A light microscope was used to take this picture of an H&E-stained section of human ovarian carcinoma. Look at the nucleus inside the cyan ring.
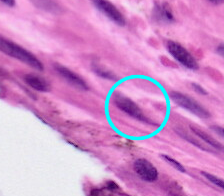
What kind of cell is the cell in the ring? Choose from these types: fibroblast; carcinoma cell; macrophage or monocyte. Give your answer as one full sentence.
The cell type represented by the cell in the ring is that of a fibroblast.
